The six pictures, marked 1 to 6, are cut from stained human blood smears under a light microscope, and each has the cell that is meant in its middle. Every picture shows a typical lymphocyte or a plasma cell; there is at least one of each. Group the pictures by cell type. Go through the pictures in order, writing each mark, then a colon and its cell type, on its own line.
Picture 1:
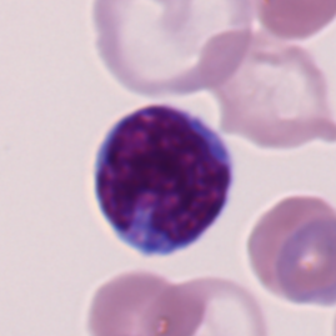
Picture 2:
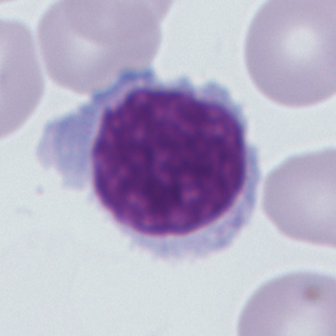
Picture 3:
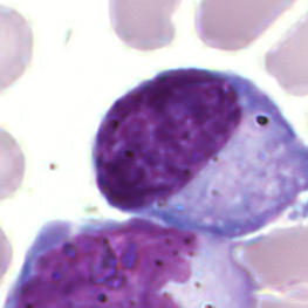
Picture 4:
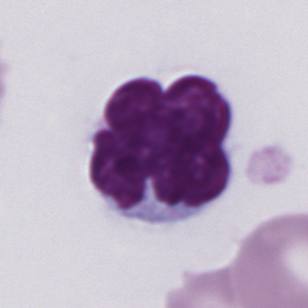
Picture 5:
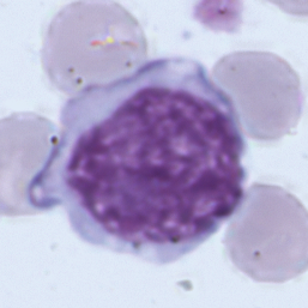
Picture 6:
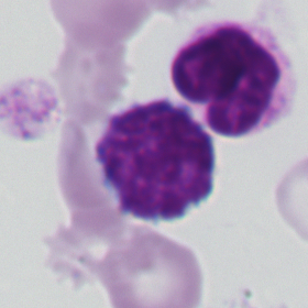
1: typical lymphocyte
2: typical lymphocyte
3: plasma cell
4: typical lymphocyte
5: plasma cell
6: typical lymphocyte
